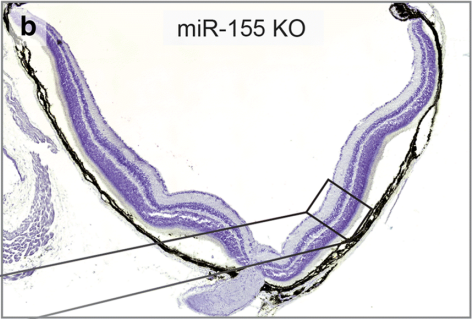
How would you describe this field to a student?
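Thick, dark nuclear bands are separated by paler layers. A black pigmented layer lines the outside of the retina all the way around the eye cup.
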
